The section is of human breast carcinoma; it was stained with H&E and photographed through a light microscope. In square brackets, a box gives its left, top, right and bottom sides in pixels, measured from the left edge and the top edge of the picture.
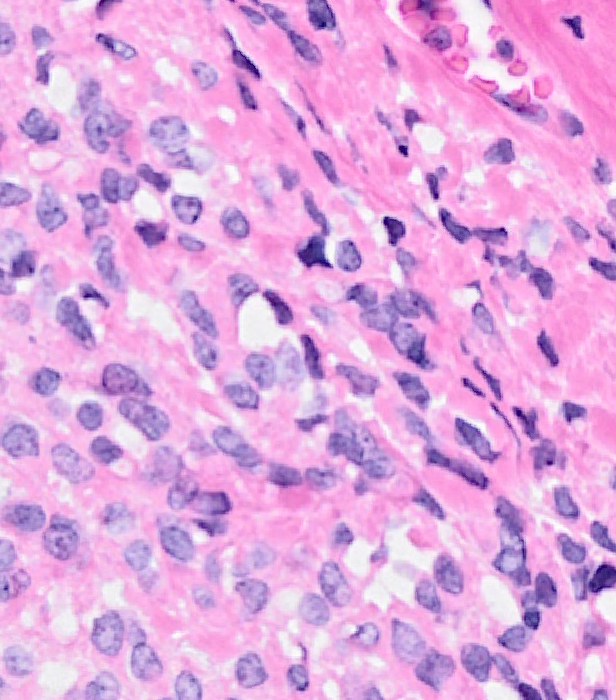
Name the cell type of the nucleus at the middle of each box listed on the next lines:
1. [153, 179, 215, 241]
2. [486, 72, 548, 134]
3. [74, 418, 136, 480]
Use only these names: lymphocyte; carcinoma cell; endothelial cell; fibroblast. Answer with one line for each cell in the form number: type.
1: carcinoma cell
2: endothelial cell
3: carcinoma cell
